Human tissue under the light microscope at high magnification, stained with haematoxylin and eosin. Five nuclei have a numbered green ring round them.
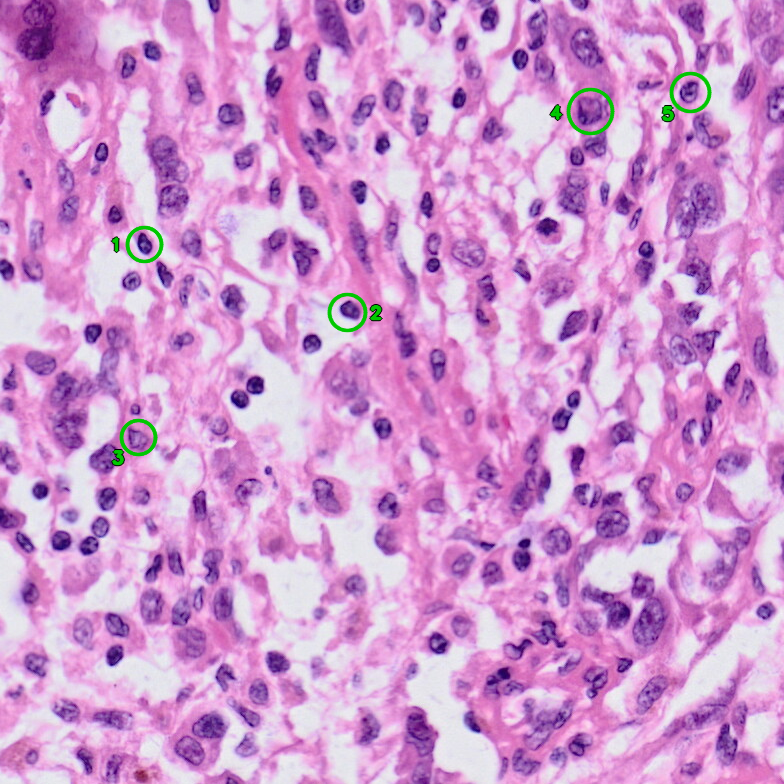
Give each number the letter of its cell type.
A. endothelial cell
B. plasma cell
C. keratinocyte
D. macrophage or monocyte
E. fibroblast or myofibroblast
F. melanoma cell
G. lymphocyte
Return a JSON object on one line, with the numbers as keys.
{"1": "G", "2": "G", "3": "D", "4": "F", "5": "G"}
